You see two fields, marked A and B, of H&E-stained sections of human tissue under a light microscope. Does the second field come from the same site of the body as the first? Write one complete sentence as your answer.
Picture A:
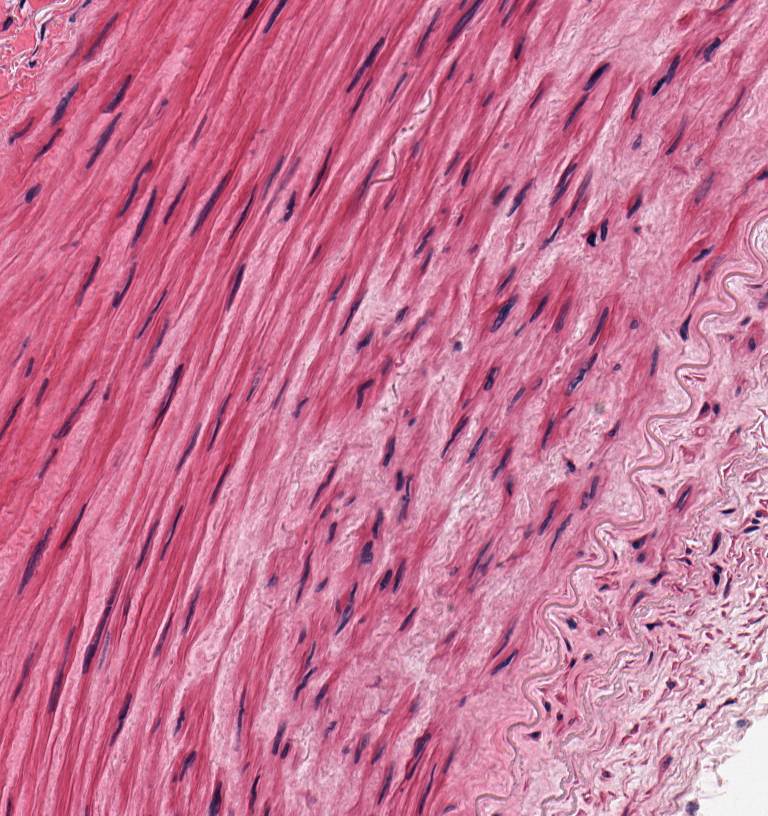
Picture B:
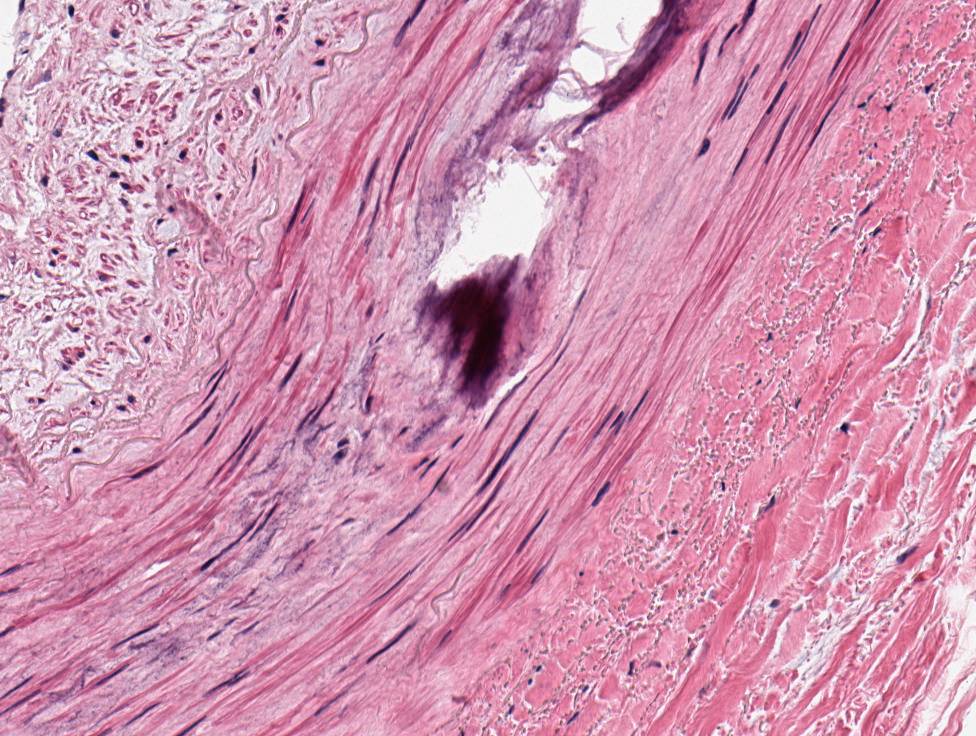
Yes, the two fields both come from the tibial artery.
